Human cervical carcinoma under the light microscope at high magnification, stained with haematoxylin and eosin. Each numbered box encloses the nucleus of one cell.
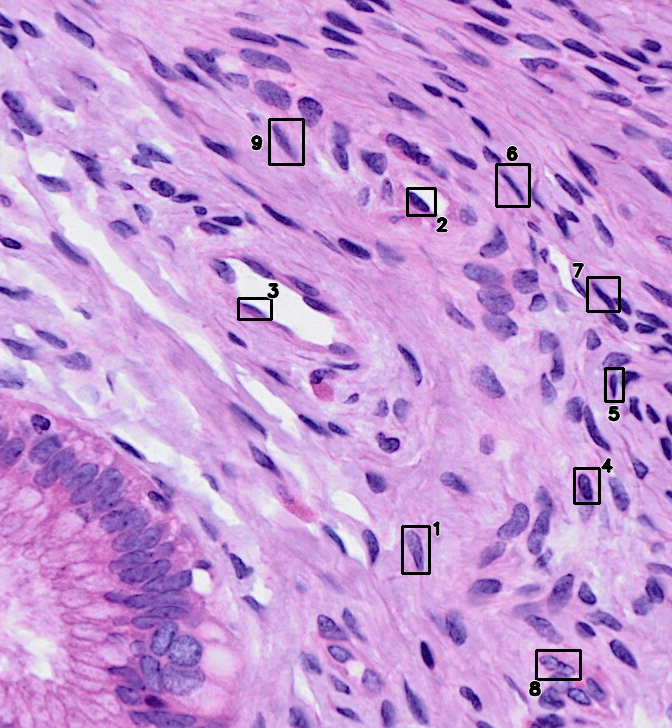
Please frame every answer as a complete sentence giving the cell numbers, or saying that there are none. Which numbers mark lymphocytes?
No marked cell except number 4 is a lymphocyte.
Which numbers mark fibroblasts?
The cells referred to by numbers 1, 5, 6, 7 and 9 are fibroblasts.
